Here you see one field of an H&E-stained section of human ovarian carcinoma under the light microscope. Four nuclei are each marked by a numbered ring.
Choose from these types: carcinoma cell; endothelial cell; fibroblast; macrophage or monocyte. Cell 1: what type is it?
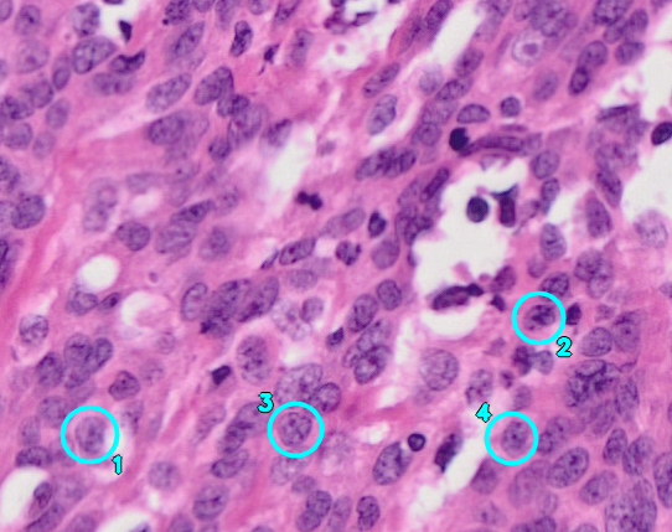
macrophage or monocyte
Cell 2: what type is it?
macrophage or monocyte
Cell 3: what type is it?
carcinoma cell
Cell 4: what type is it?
macrophage or monocyte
